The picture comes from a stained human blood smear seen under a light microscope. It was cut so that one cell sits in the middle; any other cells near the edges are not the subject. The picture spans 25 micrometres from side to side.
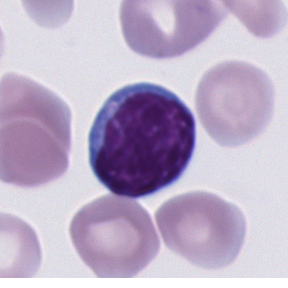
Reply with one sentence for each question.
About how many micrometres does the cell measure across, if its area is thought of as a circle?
The cell is about 10 micrometres across.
